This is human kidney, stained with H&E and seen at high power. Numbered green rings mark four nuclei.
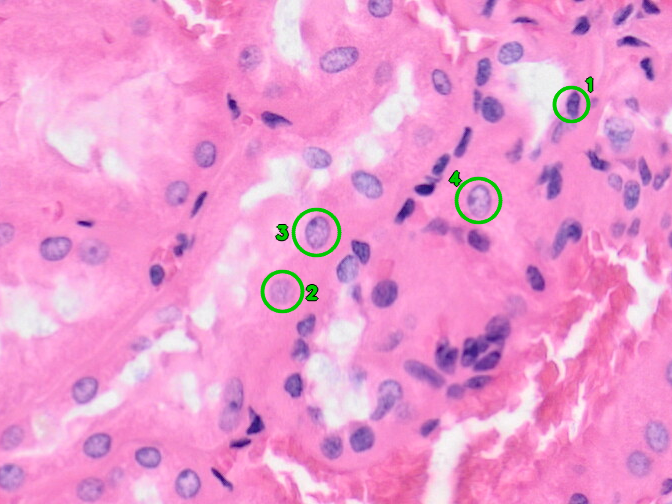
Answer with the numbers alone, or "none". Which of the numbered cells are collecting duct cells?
1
